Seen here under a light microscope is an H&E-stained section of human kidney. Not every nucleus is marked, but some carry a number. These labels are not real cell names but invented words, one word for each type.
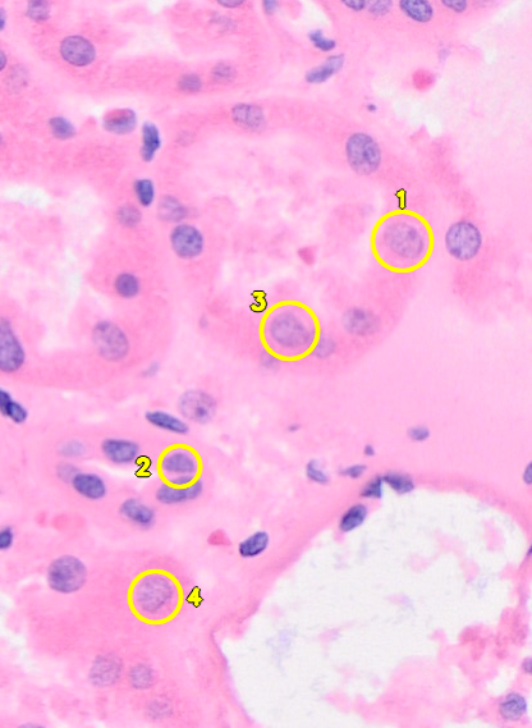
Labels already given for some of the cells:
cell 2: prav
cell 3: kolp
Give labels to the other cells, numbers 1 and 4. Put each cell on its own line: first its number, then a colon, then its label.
1: kolp
4: kolp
